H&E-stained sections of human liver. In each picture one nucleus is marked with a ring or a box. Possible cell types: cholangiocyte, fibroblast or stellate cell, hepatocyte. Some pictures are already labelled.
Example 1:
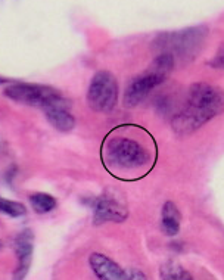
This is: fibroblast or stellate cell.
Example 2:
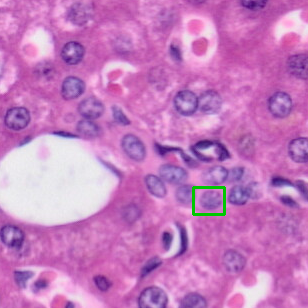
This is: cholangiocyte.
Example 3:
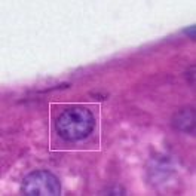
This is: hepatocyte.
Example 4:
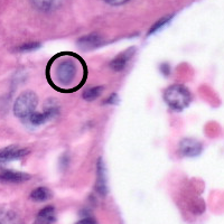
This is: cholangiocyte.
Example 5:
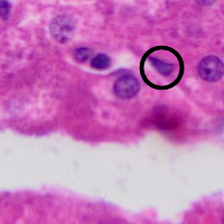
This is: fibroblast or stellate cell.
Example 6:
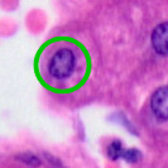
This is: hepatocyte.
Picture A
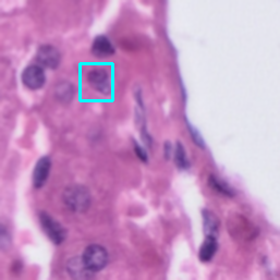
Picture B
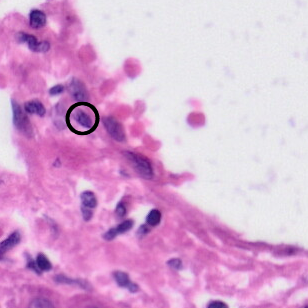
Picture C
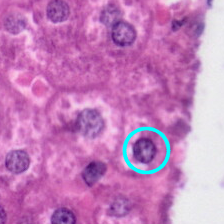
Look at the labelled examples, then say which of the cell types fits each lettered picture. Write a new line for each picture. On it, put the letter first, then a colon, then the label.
A: fibroblast or stellate cell.
B: fibroblast or stellate cell.
C: hepatocyte.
